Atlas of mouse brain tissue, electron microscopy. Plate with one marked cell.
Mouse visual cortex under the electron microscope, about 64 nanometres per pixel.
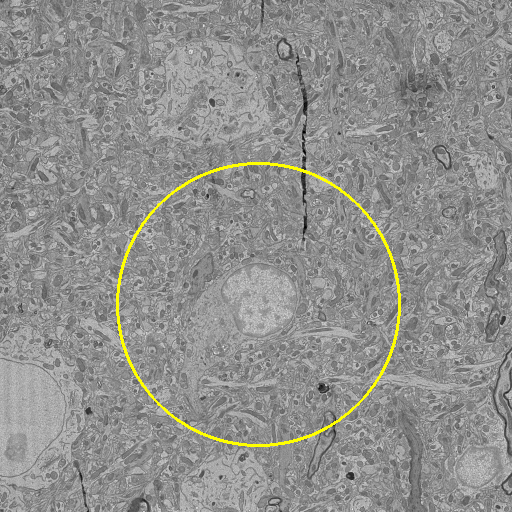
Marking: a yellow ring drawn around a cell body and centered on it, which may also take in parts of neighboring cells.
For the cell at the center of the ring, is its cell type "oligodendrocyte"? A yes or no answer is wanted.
Yes, that is its cell type.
